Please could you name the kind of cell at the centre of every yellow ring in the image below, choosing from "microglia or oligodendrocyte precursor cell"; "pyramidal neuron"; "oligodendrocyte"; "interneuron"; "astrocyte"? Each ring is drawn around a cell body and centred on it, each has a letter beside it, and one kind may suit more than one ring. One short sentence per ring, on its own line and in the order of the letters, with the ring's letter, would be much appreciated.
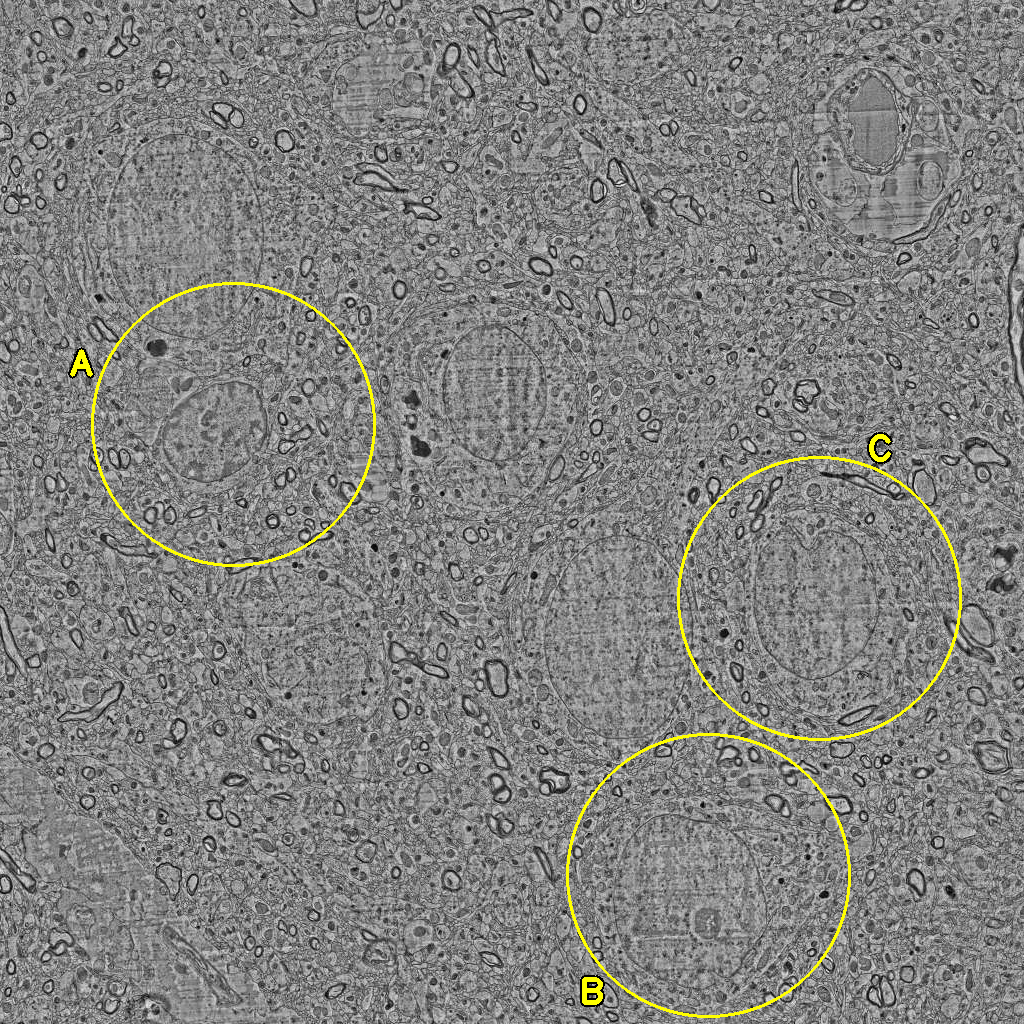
The cell in the middle of ring A is an oligodendrocyte.
The cell in the middle of ring B is a pyramidal neuron.
The cell in the middle of ring C is a pyramidal neuron.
